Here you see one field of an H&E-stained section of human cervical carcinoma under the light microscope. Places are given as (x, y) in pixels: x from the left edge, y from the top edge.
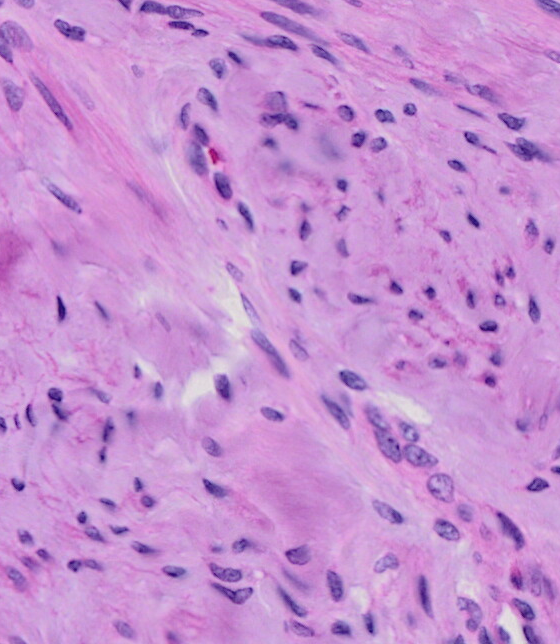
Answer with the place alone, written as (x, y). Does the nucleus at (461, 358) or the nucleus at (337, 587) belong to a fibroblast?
(337, 587)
